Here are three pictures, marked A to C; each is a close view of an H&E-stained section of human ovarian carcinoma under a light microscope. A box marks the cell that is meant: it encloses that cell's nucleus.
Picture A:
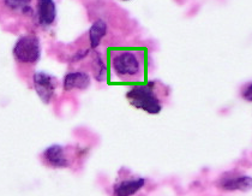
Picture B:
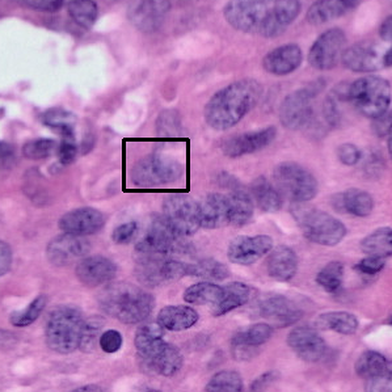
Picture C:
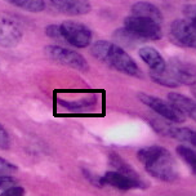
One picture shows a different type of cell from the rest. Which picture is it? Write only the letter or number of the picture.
A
